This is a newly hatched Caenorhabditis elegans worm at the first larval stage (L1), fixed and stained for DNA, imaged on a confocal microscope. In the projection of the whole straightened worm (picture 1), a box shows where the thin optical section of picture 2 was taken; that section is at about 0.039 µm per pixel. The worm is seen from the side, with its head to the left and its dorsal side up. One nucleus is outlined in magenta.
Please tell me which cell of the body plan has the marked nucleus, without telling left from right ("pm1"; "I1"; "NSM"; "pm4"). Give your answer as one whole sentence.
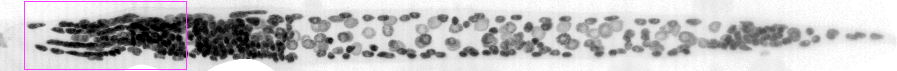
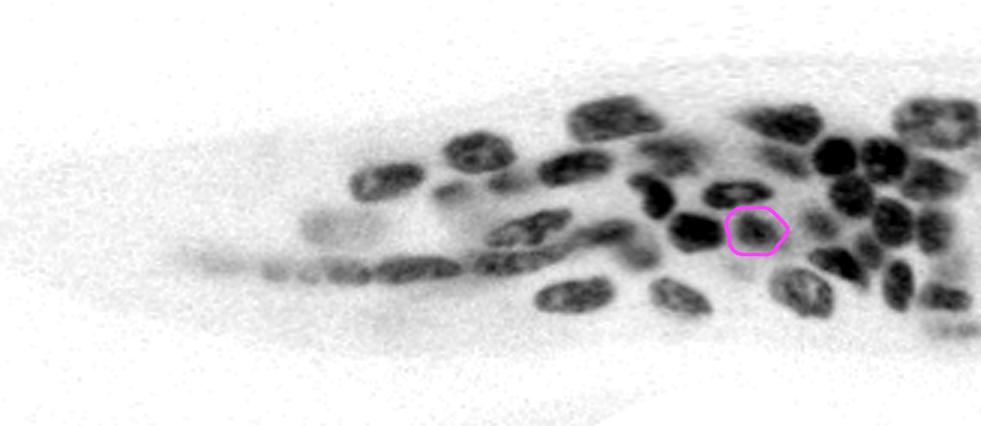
It is the nucleus of NSM, a neuron.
